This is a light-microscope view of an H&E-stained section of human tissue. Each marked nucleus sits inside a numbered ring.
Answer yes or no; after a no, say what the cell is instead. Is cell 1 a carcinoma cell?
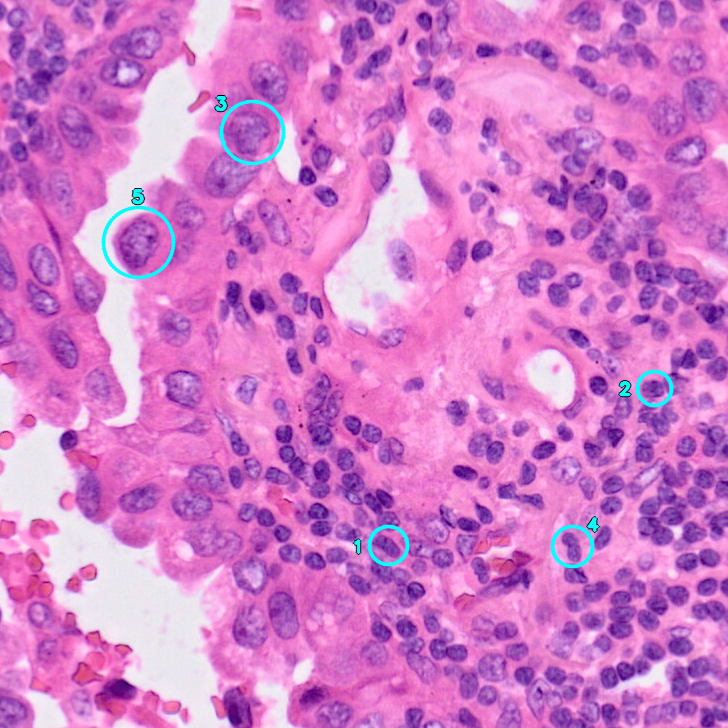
No, it is a lymphocyte.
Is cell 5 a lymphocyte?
No, it is a carcinoma cell.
